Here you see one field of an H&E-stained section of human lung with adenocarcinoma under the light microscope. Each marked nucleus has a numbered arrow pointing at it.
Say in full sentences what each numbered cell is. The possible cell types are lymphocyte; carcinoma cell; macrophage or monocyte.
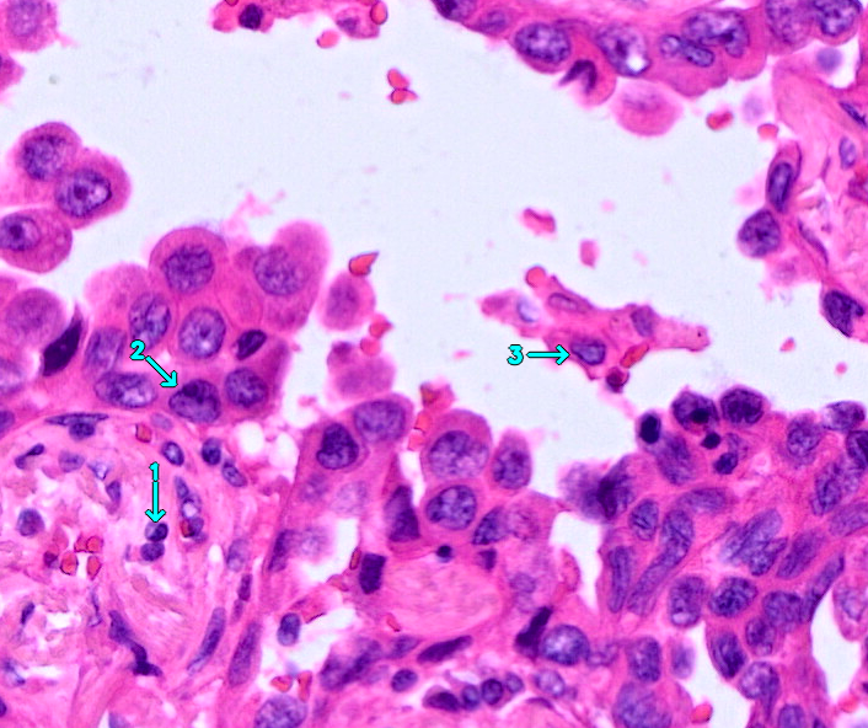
Cell 1 is a lymphocyte. Cell 2 is a carcinoma cell. Cell 3 is a macrophage or monocyte.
